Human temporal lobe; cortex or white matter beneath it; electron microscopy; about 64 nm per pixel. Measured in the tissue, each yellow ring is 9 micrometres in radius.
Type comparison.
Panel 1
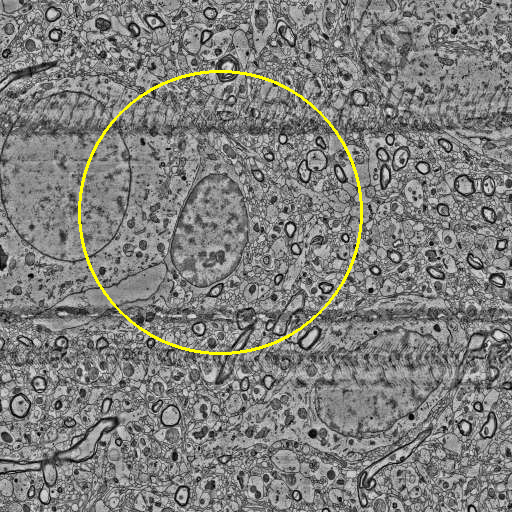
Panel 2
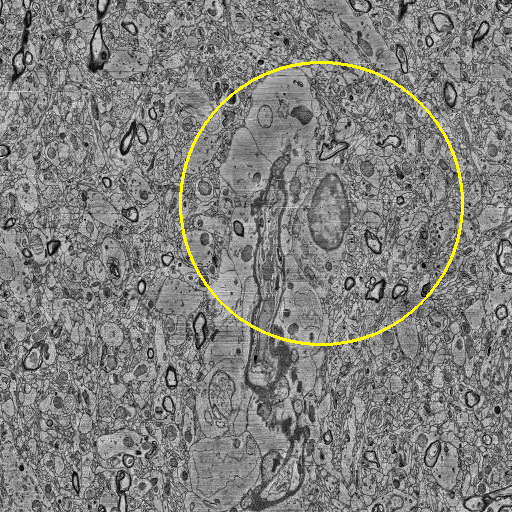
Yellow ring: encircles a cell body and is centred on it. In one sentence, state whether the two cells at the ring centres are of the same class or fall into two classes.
In these panels, the two cells at the ring centres are of the same class.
